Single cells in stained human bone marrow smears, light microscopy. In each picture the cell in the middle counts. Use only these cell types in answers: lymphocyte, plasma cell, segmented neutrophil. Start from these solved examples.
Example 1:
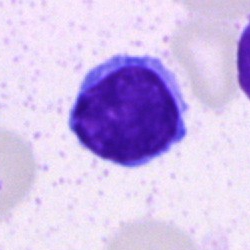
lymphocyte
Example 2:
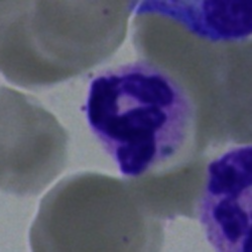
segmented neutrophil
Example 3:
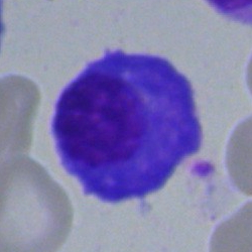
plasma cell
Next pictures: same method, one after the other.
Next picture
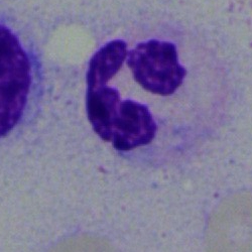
segmented neutrophil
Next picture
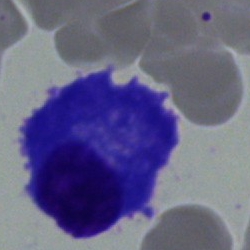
plasma cell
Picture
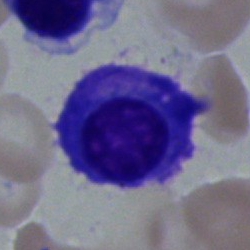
plasma cell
